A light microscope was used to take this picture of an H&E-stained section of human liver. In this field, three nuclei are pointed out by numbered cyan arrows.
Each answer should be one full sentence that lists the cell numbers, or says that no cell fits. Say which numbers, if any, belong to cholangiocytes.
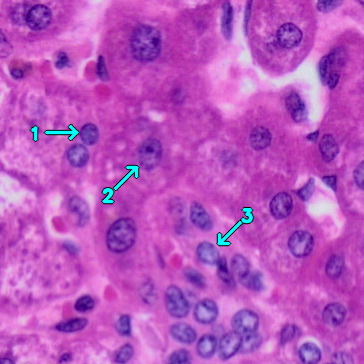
The cells given the numbers 1 and 3 are cholangiocytes.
